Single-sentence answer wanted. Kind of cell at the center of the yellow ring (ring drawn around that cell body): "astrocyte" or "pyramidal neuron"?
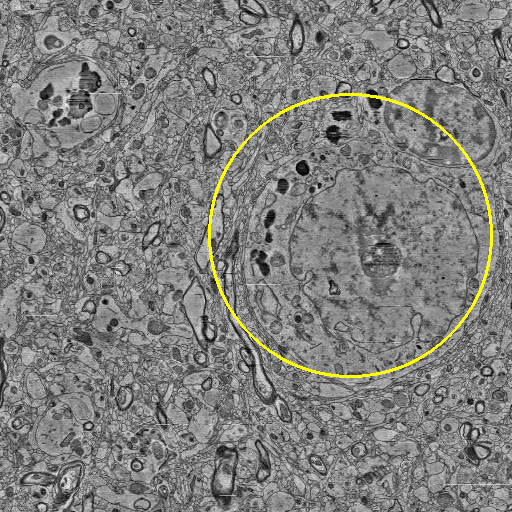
The cell centered in the ring is a pyramidal neuron.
